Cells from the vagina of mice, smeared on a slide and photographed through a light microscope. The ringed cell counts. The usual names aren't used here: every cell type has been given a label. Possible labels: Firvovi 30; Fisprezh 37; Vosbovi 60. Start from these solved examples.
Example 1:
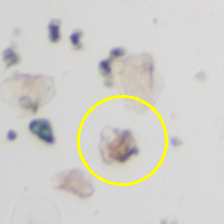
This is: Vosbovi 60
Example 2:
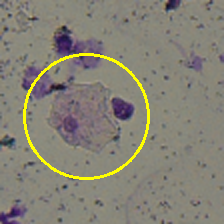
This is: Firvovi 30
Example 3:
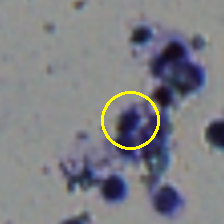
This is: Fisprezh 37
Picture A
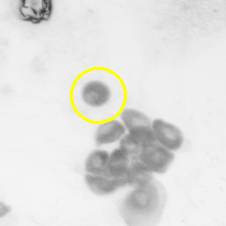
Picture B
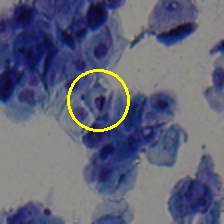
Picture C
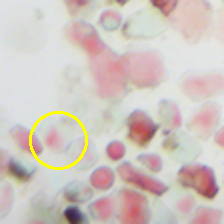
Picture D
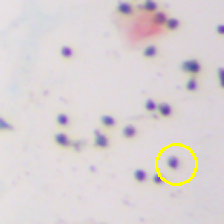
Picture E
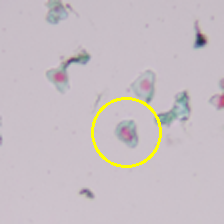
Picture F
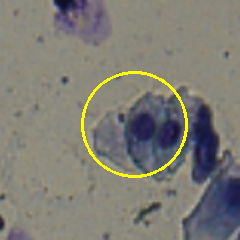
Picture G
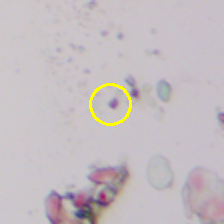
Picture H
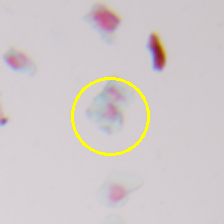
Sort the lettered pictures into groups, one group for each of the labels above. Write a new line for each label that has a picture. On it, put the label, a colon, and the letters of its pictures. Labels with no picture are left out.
Firvovi 30: A, B, C, E, F, H
Fisprezh 37: D, G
